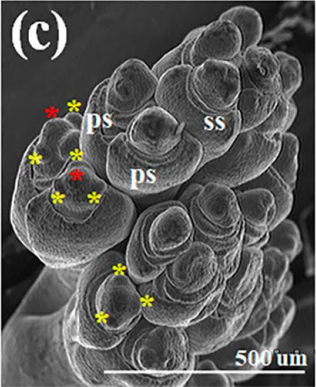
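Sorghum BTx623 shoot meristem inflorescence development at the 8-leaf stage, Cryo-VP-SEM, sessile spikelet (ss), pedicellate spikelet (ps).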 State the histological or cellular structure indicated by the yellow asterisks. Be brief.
Stamen primordia.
